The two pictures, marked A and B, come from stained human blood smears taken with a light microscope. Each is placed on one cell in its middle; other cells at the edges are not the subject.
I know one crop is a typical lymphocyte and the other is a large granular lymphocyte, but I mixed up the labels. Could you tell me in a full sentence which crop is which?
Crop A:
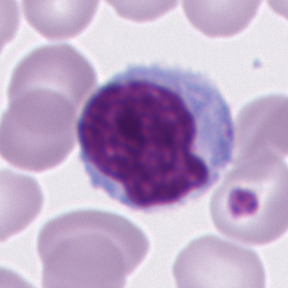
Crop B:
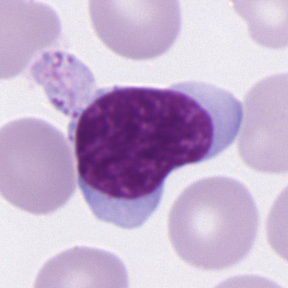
In this set, crop A shows a typical lymphocyte and crop B shows a large granular lymphocyte.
